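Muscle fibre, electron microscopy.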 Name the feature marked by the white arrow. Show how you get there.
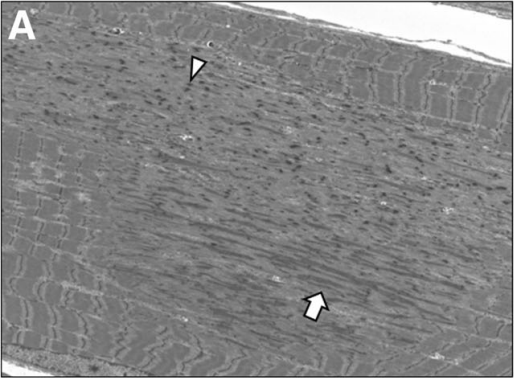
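Dark, elongated streaks run along the long axis of the fibre. The streaks lie within a zone where the regular sarcomere banding is lost. On this evidence: electrodense longitudinally-smeared material.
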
